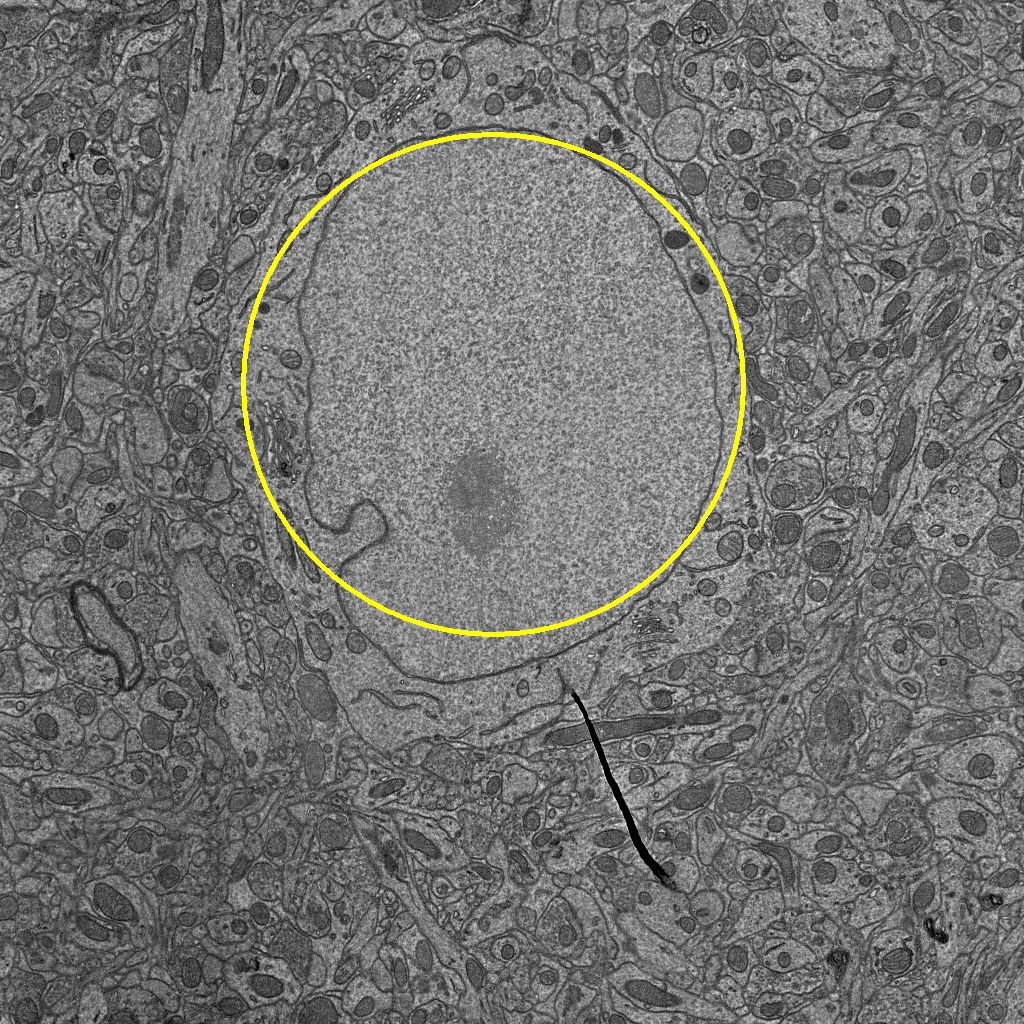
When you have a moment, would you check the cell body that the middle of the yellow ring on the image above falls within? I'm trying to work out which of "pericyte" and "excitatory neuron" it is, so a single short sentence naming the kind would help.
This cell body belongs to an excitatory neuron.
